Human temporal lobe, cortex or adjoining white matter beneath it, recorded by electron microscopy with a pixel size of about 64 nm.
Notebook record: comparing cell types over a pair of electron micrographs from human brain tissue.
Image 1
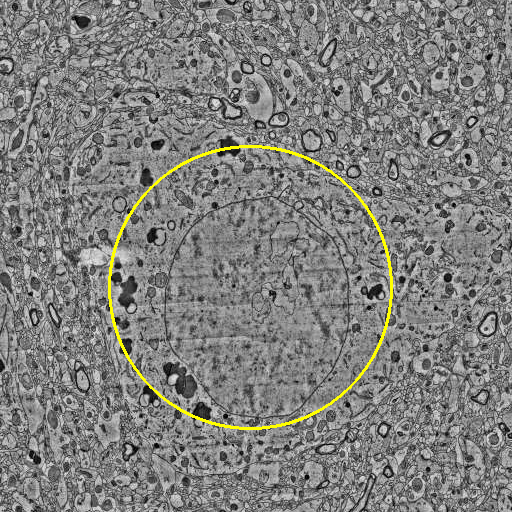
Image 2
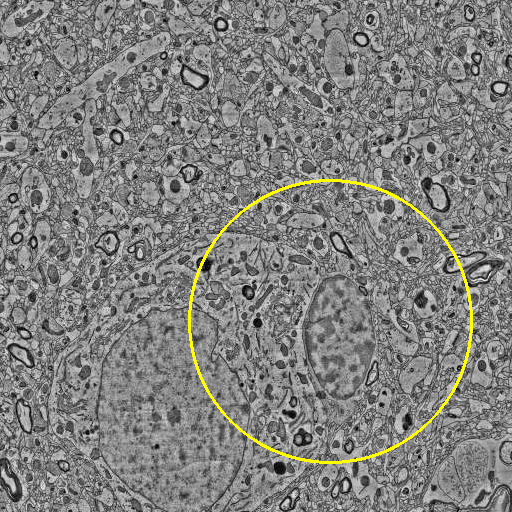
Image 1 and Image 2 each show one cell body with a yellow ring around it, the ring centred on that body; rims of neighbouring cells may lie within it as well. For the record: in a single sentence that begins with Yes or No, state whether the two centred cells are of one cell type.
No, two cell types are found among the centred cells of Image 1 and Image 2.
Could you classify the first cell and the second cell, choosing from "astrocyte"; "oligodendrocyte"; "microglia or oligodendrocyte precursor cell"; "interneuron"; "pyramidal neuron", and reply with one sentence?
The second cell is an oligodendrocyte, while the first is a pyramidal neuron.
